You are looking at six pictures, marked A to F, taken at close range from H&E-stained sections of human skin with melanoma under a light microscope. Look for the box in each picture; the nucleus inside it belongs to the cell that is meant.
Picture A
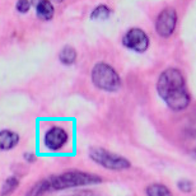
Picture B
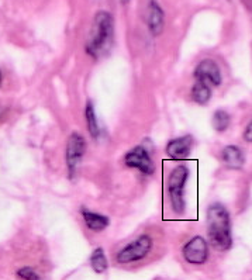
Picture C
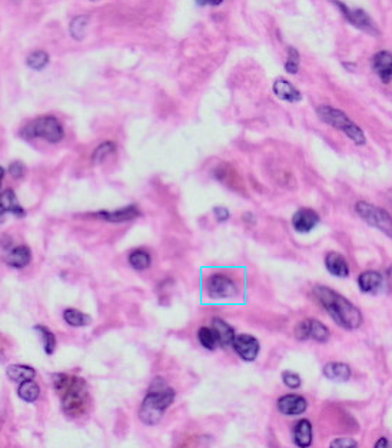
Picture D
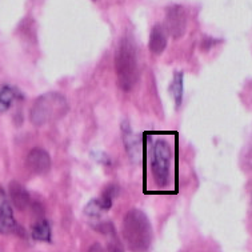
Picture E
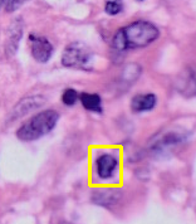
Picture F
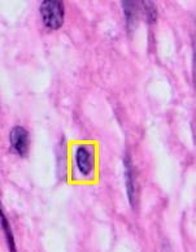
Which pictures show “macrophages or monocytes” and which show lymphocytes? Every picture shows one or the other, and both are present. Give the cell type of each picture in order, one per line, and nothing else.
lymphocyte
macrophage or monocyte
macrophage or monocyte
macrophage or monocyte
lymphocyte
lymphocyte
